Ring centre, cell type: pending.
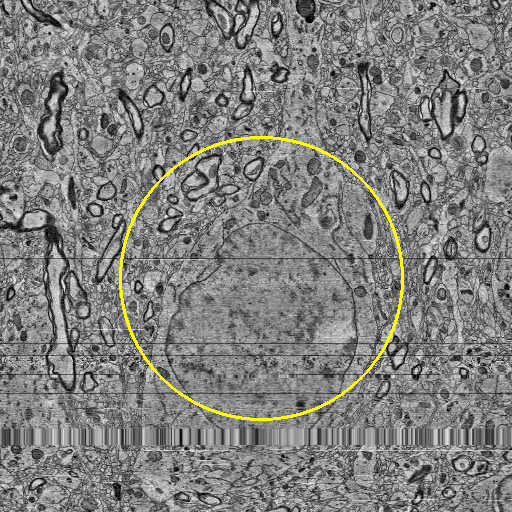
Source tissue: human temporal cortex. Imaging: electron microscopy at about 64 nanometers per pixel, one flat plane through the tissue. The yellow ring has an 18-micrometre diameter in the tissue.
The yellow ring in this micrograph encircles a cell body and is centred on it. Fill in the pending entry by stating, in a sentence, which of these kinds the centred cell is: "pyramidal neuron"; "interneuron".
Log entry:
The centred cell is recorded as a pyramidal neuron.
